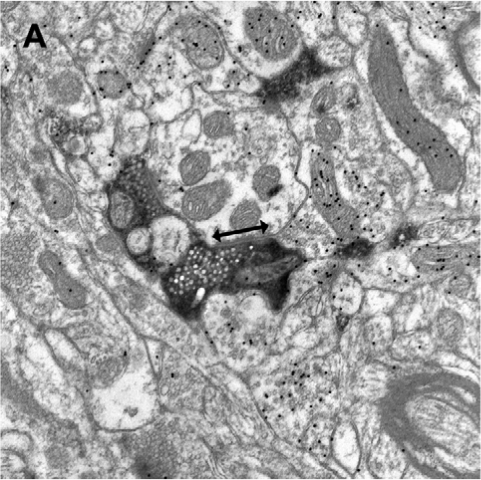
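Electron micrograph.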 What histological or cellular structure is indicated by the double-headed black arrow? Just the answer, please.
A: Synapse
